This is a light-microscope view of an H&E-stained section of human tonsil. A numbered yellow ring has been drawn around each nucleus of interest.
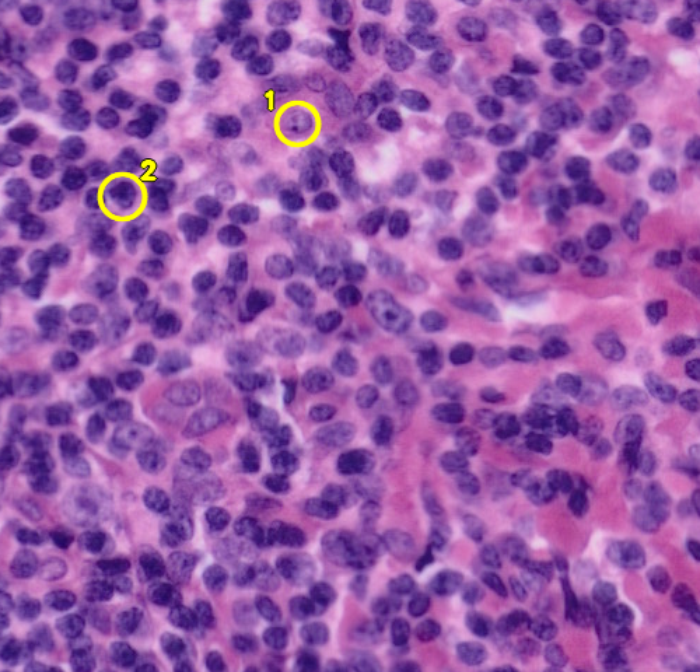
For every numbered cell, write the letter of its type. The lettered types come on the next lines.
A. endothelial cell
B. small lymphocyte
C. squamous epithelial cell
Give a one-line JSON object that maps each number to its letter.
{"1": "A", "2": "B"}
